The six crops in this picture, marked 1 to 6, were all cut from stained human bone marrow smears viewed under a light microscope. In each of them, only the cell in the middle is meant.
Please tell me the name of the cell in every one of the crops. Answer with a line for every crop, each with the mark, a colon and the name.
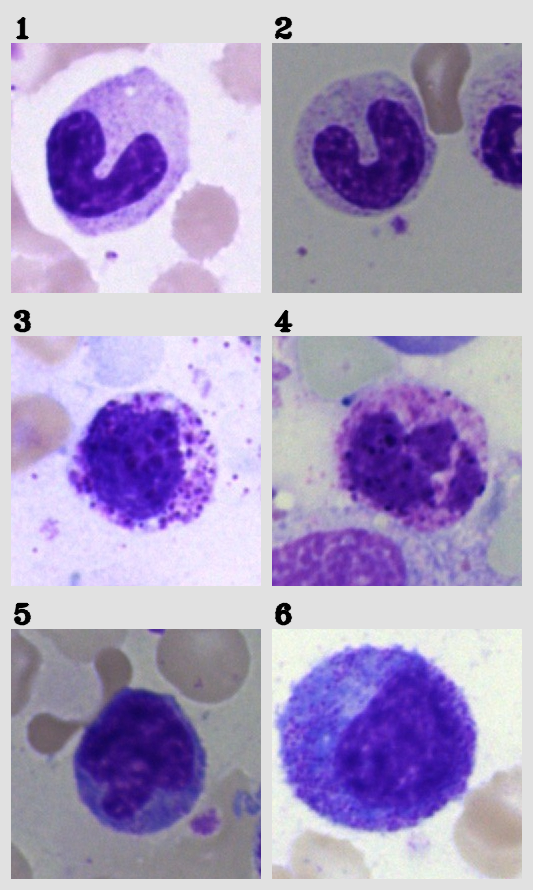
1: band neutrophil
2: band neutrophil
3: basophil
4: basophil
5: monocyte
6: promyelocyte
